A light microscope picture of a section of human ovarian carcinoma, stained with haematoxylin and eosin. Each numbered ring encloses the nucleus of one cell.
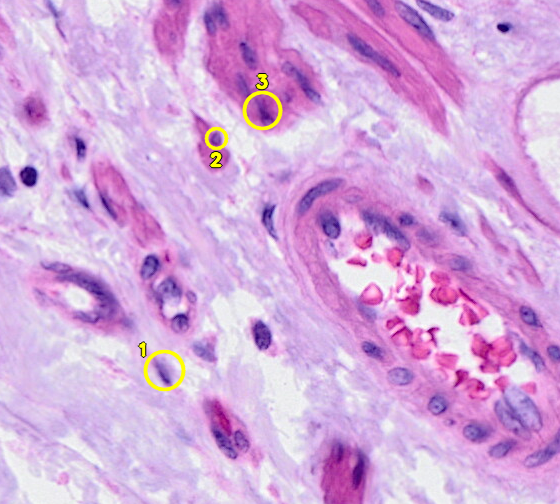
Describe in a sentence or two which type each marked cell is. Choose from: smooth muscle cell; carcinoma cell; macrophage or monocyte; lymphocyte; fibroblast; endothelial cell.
Cell 1 is a fibroblast. Cells 2 and 3 are smooth muscle cells.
